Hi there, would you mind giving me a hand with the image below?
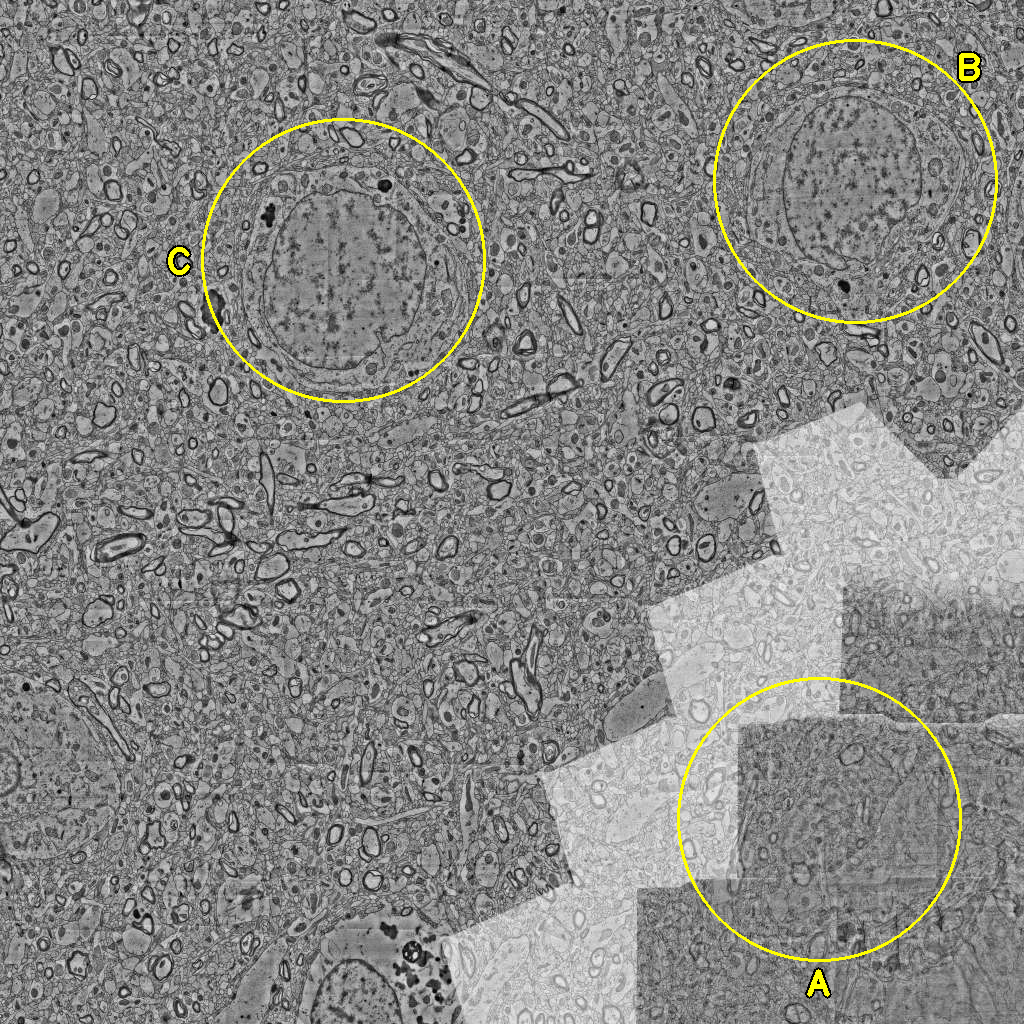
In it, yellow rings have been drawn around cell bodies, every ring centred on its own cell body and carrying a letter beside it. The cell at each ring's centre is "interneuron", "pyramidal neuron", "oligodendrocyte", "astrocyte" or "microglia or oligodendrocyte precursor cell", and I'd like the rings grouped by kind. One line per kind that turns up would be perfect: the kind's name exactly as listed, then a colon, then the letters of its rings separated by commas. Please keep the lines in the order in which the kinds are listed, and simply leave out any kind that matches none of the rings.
pyramidal neuron: B, C
oligodendrocyte: A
